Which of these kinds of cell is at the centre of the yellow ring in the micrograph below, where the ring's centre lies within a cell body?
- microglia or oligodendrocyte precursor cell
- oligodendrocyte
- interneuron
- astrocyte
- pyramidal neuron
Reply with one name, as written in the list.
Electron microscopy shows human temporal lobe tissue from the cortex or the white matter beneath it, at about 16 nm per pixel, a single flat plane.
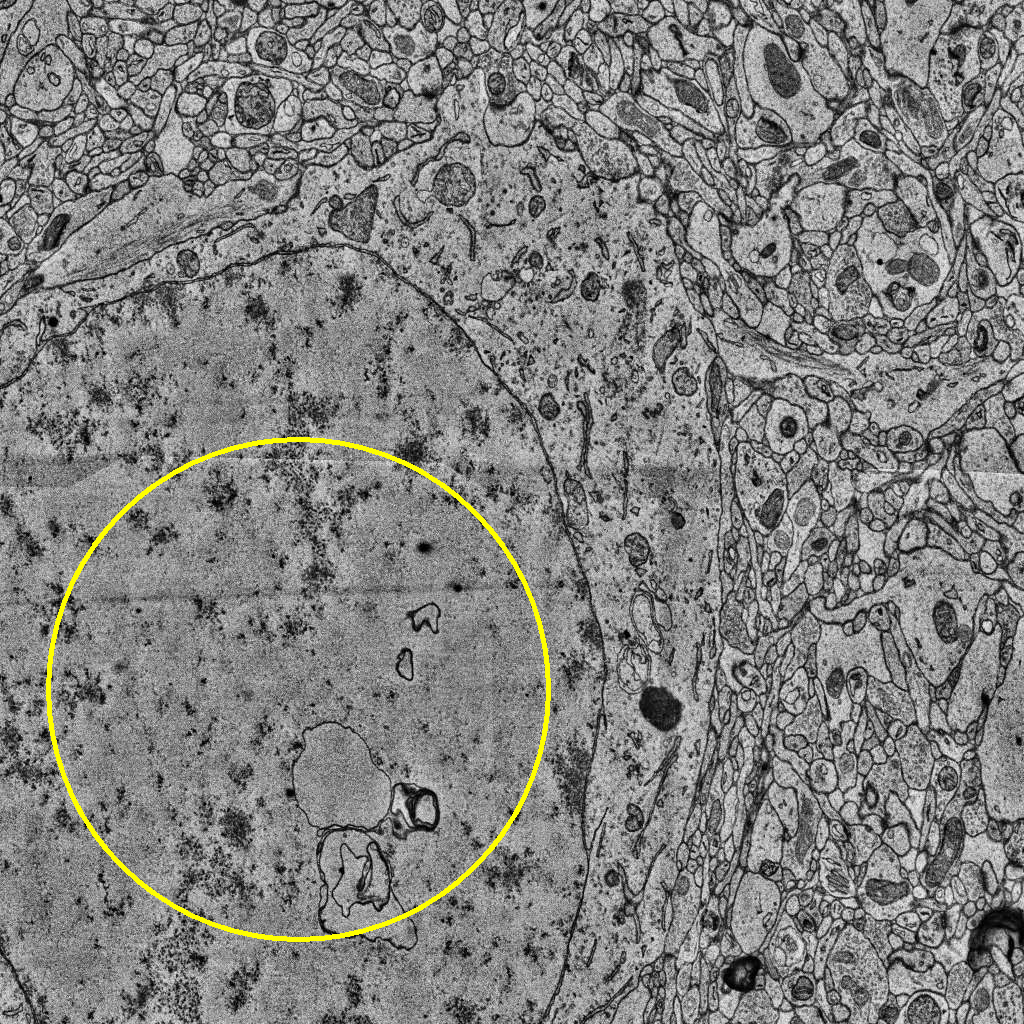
pyramidal neuron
